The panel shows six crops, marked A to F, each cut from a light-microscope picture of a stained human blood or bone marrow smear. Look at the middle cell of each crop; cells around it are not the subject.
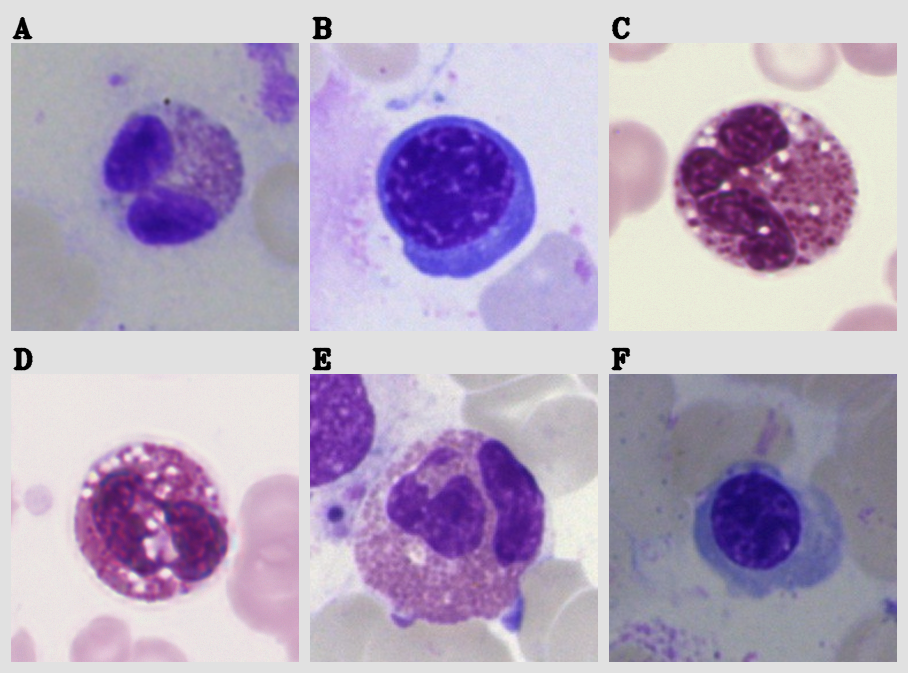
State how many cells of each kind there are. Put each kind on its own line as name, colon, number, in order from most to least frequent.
eosinophil: 4
normoblast: 2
